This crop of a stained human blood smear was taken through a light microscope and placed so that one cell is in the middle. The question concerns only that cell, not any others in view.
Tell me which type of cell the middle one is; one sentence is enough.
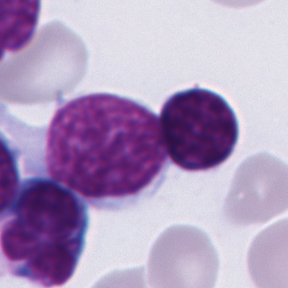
In this crop, the cell at the very middle is a myeloblast.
